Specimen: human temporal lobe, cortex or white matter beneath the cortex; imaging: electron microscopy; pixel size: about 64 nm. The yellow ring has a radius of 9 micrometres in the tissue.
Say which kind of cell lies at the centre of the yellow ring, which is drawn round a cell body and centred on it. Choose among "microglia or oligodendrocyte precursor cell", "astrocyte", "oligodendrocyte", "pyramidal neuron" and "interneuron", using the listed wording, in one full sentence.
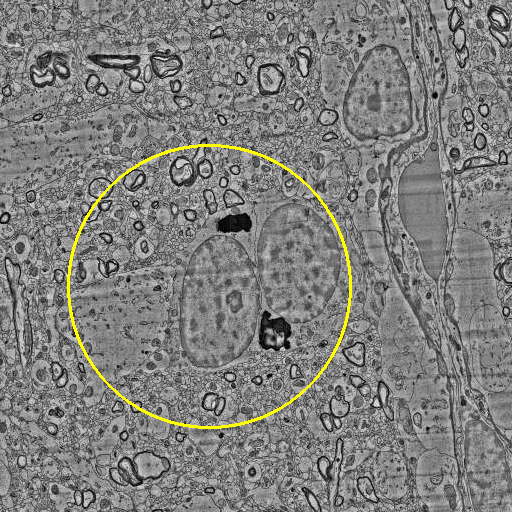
Going by the list, the cell at the yellow ring's centre is an oligodendrocyte.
